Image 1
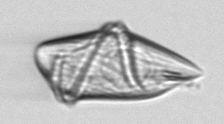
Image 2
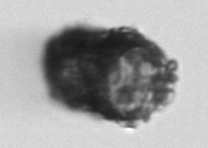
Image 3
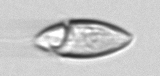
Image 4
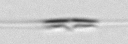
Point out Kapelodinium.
That is picture 3.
